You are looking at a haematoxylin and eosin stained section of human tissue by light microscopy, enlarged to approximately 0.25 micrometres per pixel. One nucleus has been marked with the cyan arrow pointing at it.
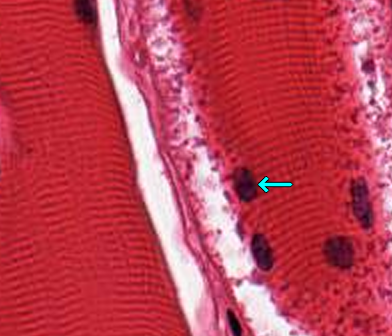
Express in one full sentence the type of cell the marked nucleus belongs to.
The cell containing the marked nucleus is a skeletal muscle fibre.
